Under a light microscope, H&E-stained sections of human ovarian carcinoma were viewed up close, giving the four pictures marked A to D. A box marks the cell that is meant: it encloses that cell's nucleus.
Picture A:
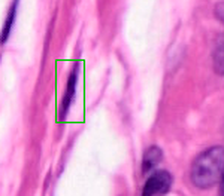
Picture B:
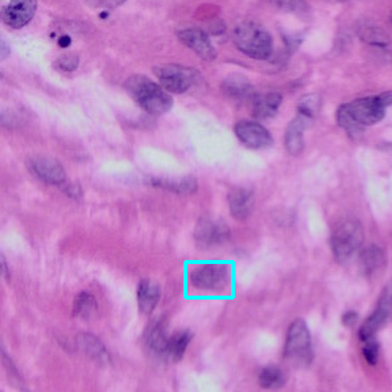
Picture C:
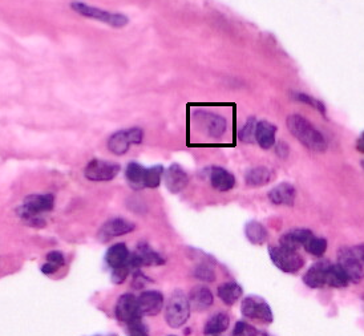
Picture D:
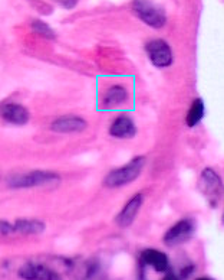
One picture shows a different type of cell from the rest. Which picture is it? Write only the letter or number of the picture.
C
